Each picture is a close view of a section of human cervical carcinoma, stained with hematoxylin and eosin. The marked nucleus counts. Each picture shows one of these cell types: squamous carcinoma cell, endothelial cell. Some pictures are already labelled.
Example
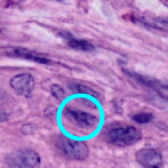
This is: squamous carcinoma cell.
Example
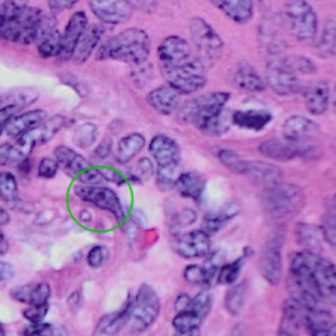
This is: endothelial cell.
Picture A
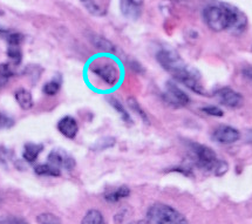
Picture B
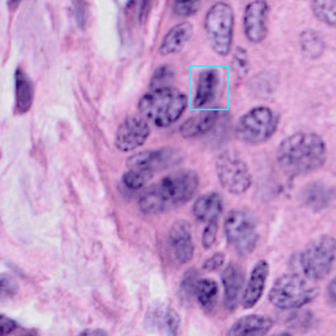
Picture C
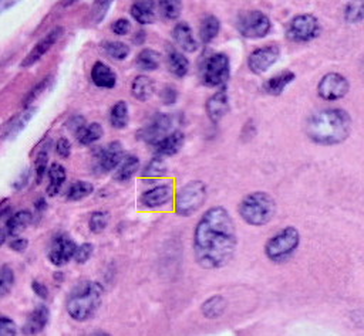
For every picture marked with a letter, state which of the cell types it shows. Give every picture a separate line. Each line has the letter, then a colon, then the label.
A: endothelial cell.
B: squamous carcinoma cell.
C: squamous carcinoma cell.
